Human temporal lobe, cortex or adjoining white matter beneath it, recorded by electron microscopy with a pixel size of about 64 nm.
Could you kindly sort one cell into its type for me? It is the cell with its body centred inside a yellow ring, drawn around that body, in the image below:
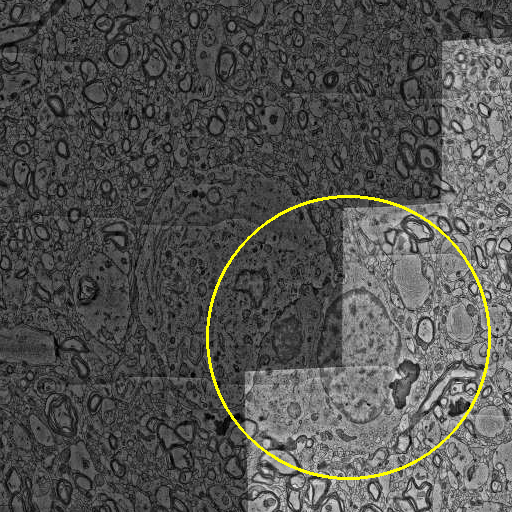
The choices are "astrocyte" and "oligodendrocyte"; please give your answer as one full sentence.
The cell whose body lies centred in the yellow ring here is an oligodendrocyte.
